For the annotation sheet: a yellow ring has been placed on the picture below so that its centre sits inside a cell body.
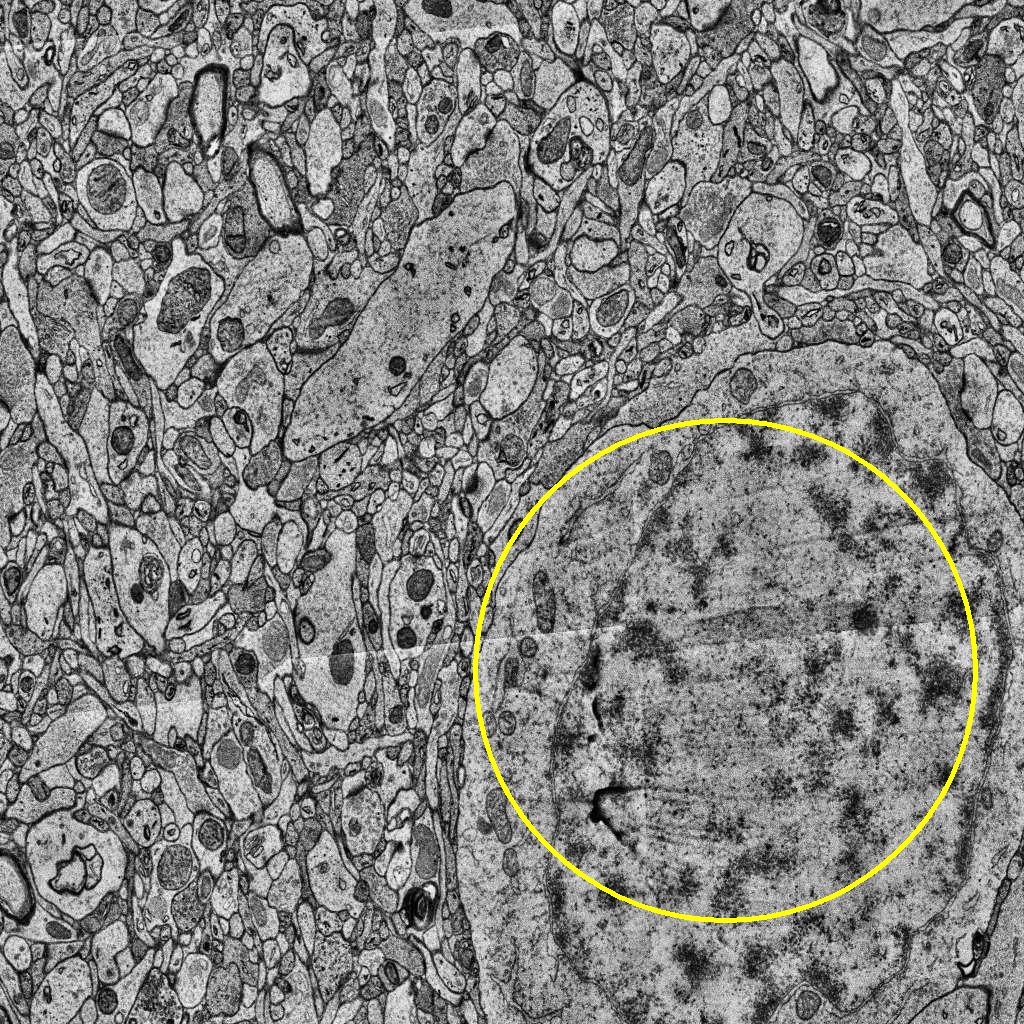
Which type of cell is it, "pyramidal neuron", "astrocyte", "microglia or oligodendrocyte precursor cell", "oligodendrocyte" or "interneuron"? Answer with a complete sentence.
The cell at the ring's centre is an interneuron.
